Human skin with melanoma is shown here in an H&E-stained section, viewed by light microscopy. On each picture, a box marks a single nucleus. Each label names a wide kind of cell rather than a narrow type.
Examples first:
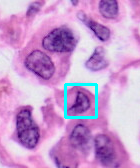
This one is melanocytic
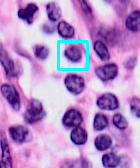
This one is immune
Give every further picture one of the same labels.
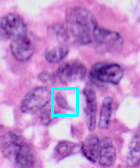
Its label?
melanocytic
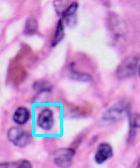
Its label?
immune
